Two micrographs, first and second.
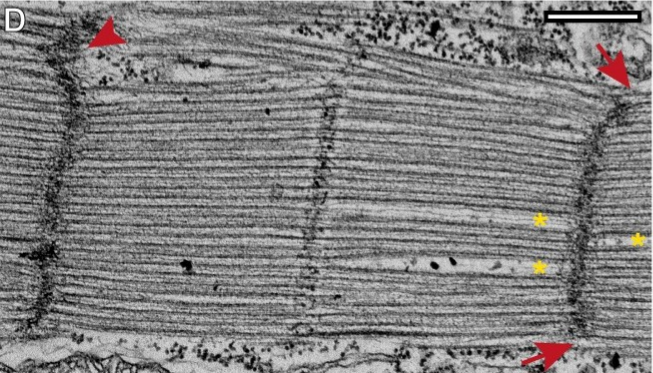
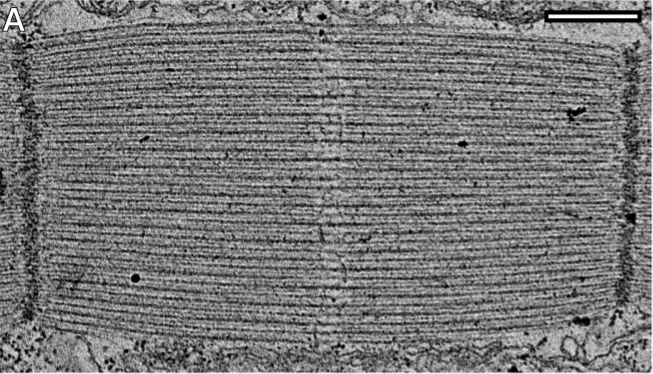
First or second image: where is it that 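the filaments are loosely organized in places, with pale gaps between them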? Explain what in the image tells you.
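The first image. Second image: filaments run evenly and closely packed across the whole sarcomere. First image: pale gaps open between bundles of filaments in several places.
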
